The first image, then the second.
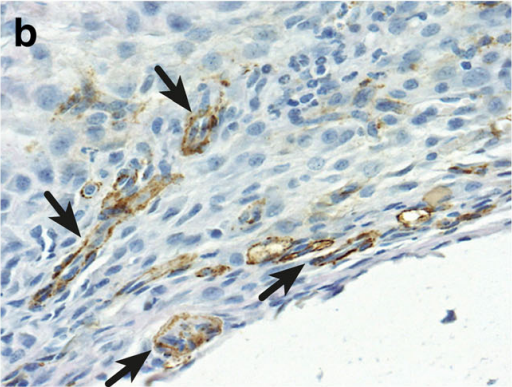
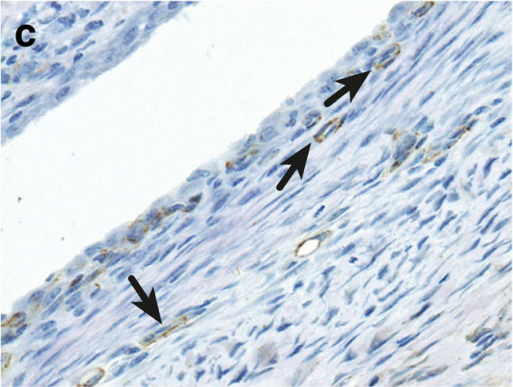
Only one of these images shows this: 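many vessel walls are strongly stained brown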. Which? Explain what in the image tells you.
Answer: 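Second image: only a few thin, faint brown streaks lie among blue nuclei. First image: numerous round and elongated vessel profiles carry dense brown stain. The answer: the first image.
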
